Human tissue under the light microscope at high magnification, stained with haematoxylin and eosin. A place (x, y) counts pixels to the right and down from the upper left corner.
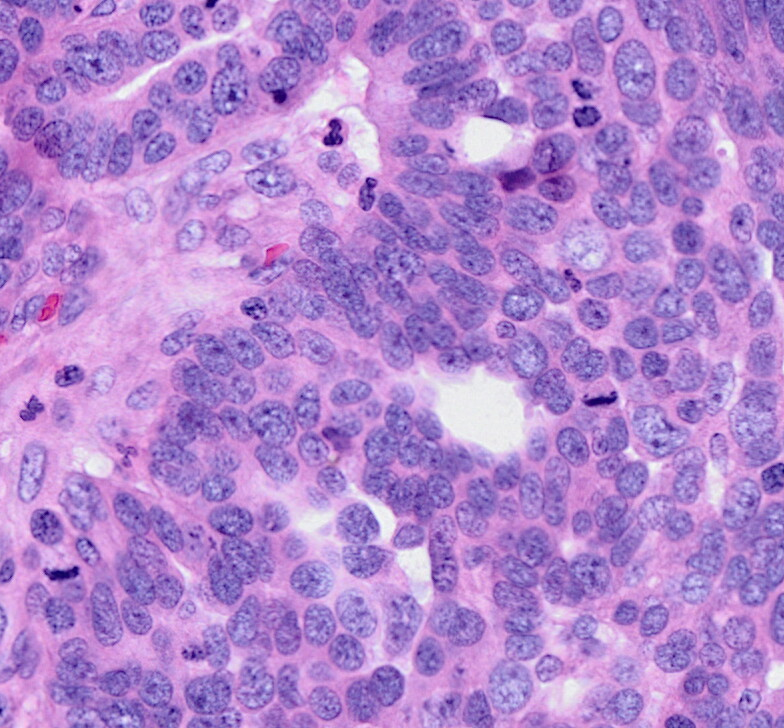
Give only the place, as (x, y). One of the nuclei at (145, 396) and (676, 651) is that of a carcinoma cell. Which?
(676, 651)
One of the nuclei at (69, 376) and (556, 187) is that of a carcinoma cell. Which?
(556, 187)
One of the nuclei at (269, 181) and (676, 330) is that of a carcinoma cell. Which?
(676, 330)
